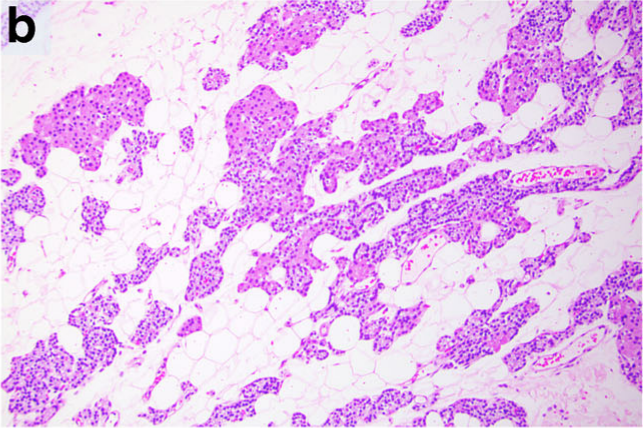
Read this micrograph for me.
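Mature adipose tissue with embedded branching cords of parathyroid chief cells. Large, empty, round to polygonal fat cells with thin pink borders form the background. Running through them are branching cords, trabeculae and nests of small epithelial cells with round, dark purple nuclei and scant pale to pink cytoplasm; some cell groups have more abundant pink cytoplasm. Thin-walled blood vessels containing red cells run alongside the cords. The cords are irregular in width and tend to follow a diagonal course across the field.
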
